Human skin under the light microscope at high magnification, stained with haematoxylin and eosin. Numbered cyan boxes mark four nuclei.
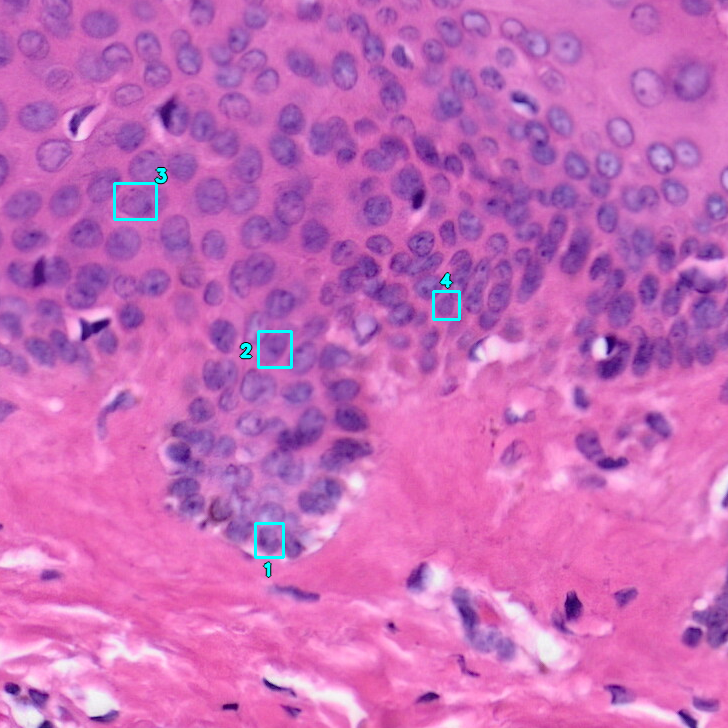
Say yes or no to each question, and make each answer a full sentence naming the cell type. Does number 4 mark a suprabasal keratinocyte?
No, it is a basal keratinocyte that is marked with number 4, not a suprabasal keratinocyte.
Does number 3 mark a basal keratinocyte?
No, what number 3 shows is a suprabasal keratinocyte, not a basal keratinocyte.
